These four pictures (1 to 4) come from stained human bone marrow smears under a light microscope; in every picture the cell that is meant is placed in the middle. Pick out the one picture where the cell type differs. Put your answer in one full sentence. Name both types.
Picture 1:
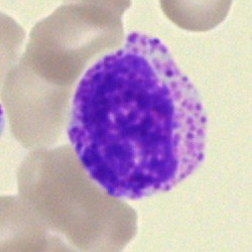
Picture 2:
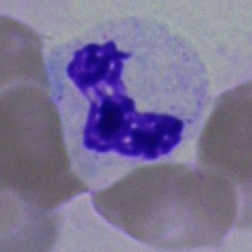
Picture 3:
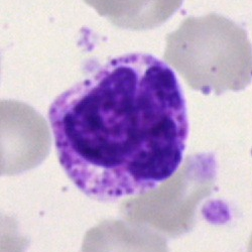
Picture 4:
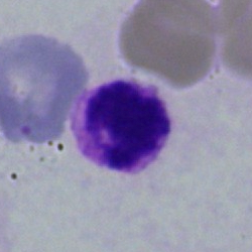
The different one is picture 2; it shows a segmented neutrophil, whereas all the others show basophils.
